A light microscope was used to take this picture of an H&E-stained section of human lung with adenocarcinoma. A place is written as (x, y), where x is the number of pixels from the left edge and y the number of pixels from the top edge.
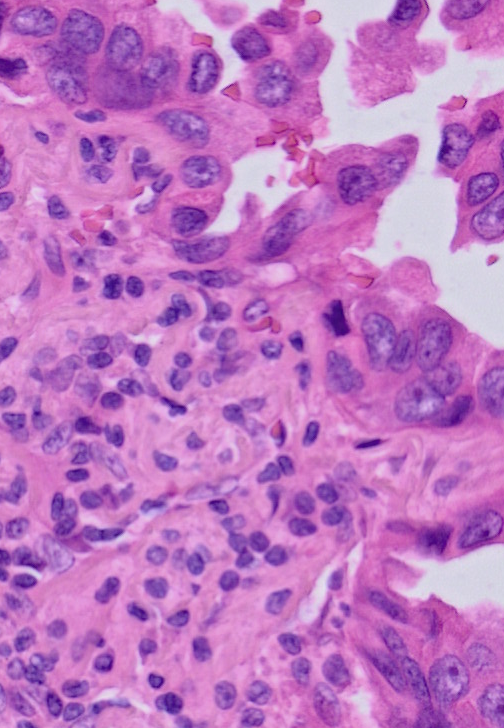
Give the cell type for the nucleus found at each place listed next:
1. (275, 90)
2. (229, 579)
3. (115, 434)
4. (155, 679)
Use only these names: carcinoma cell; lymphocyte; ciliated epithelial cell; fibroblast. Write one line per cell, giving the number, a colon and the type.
1: carcinoma cell
2: lymphocyte
3: lymphocyte
4: lymphocyte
